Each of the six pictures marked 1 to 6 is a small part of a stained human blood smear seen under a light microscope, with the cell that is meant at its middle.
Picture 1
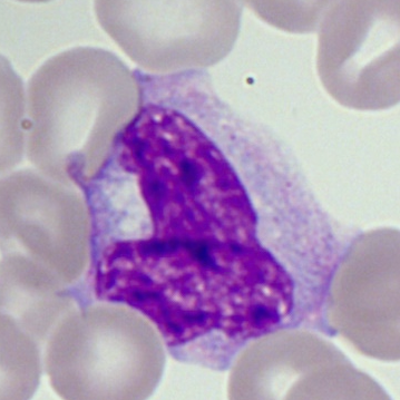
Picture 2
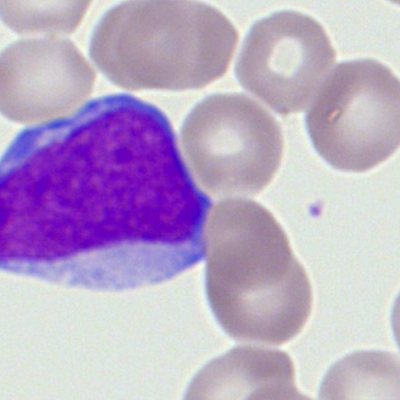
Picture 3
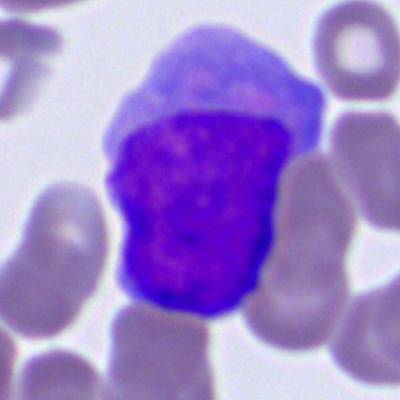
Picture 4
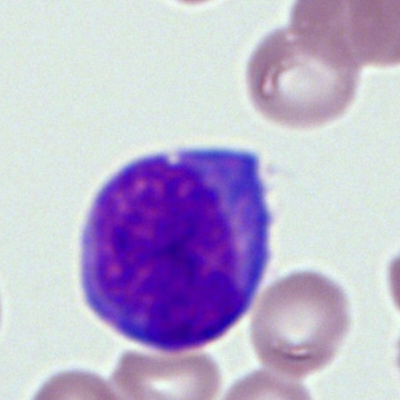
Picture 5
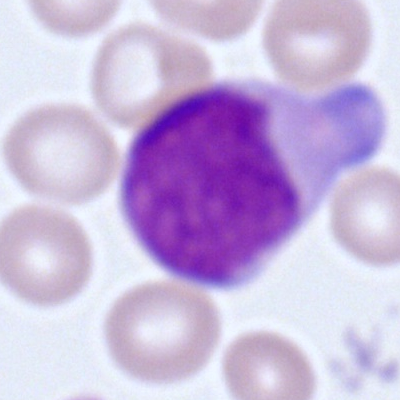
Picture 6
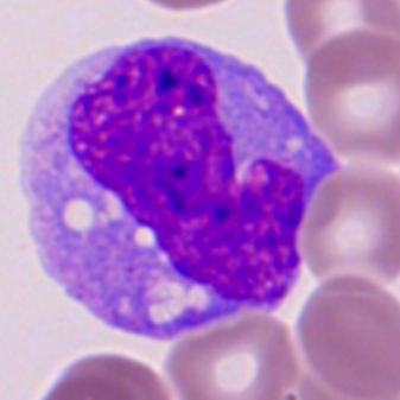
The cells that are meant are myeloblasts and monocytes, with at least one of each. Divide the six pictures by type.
1: monocyte
2: myeloblast
3: myeloblast
4: myeloblast
5: myeloblast
6: monocyte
